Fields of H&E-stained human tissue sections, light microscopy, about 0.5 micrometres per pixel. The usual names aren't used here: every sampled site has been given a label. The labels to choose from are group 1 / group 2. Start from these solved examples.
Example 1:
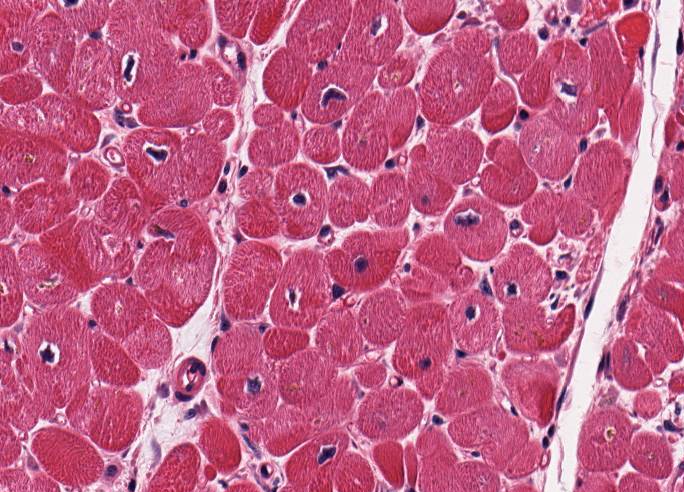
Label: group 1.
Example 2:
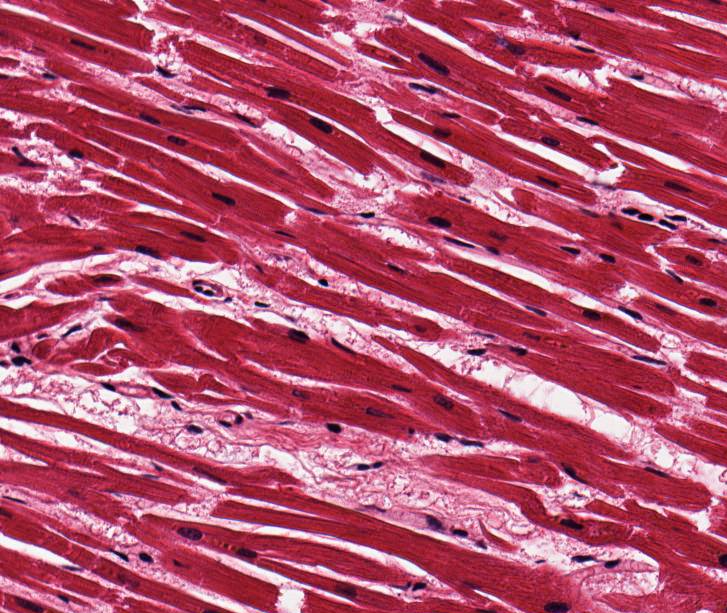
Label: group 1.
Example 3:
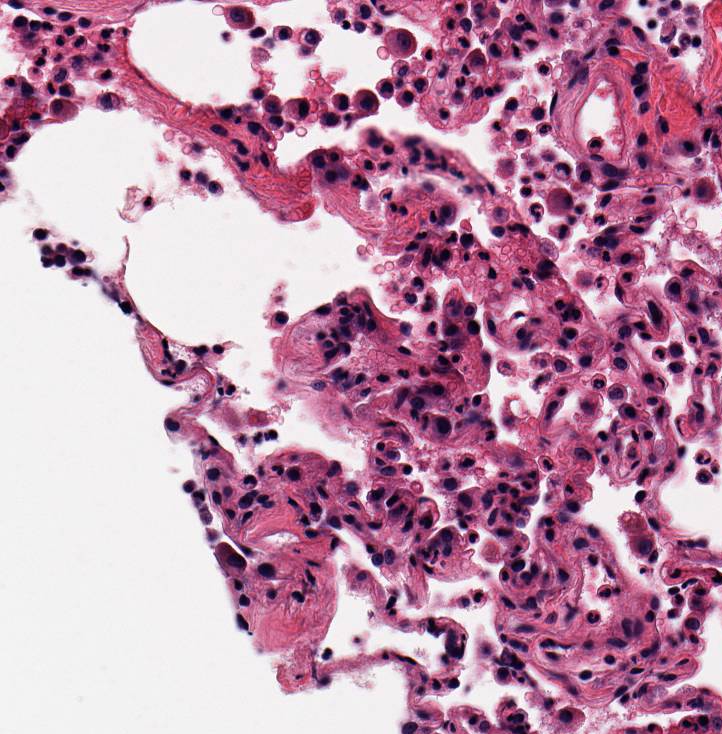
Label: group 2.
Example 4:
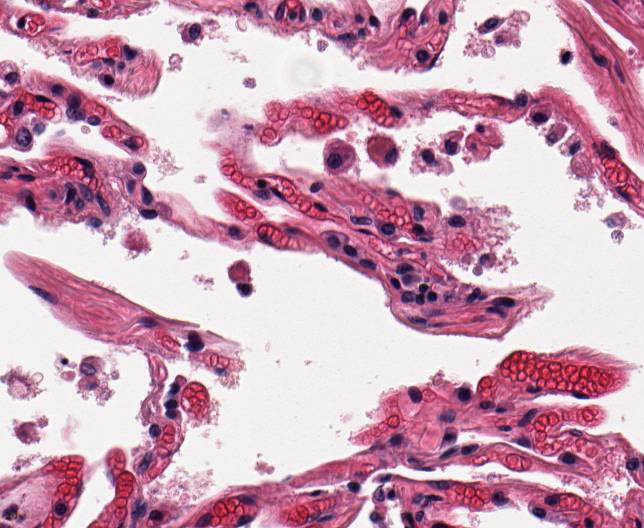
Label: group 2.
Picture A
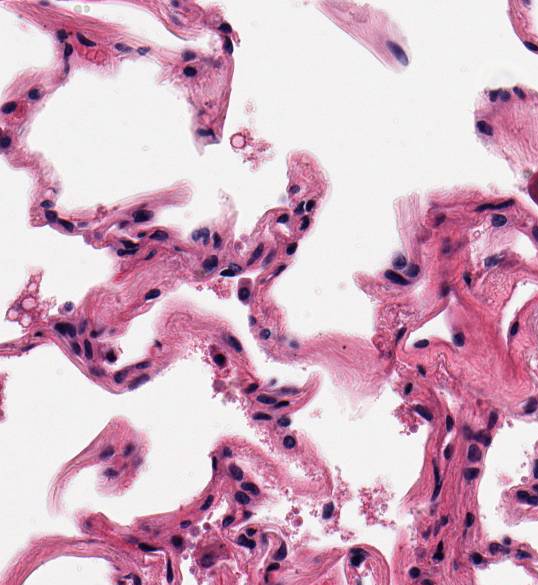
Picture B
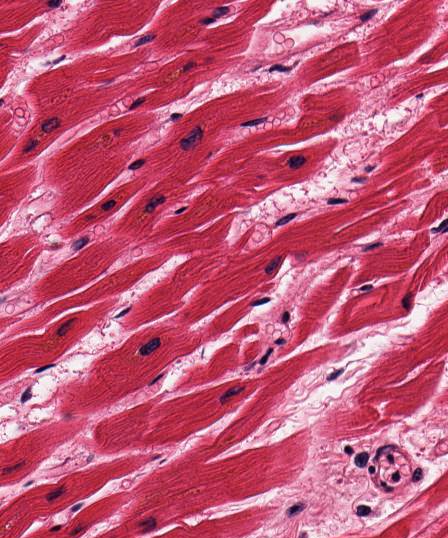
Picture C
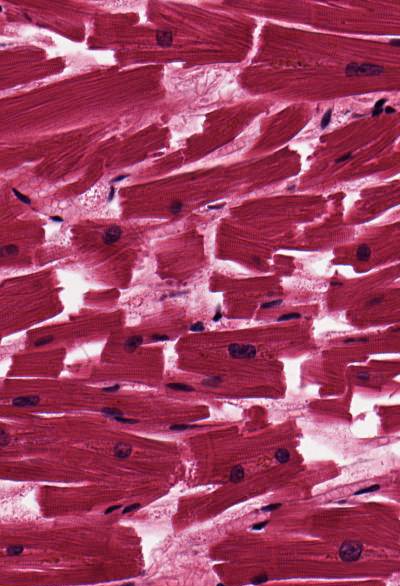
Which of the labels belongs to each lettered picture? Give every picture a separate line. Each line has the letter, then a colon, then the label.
A: group 2.
B: group 1.
C: group 1.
